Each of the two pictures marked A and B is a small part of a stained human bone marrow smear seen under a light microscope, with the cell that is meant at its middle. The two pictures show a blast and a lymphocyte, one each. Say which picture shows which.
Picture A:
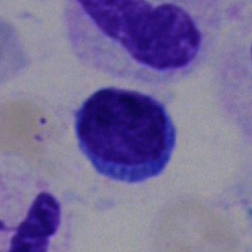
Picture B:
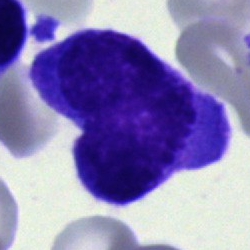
A: lymphocyte
B: blast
